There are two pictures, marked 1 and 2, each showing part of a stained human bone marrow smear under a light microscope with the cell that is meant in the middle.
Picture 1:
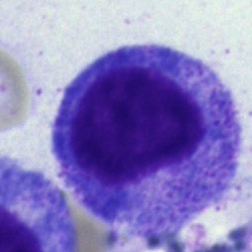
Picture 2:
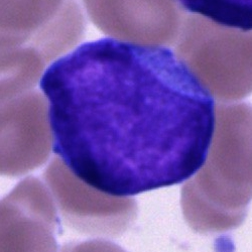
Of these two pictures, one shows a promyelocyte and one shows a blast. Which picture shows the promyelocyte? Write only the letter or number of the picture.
1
